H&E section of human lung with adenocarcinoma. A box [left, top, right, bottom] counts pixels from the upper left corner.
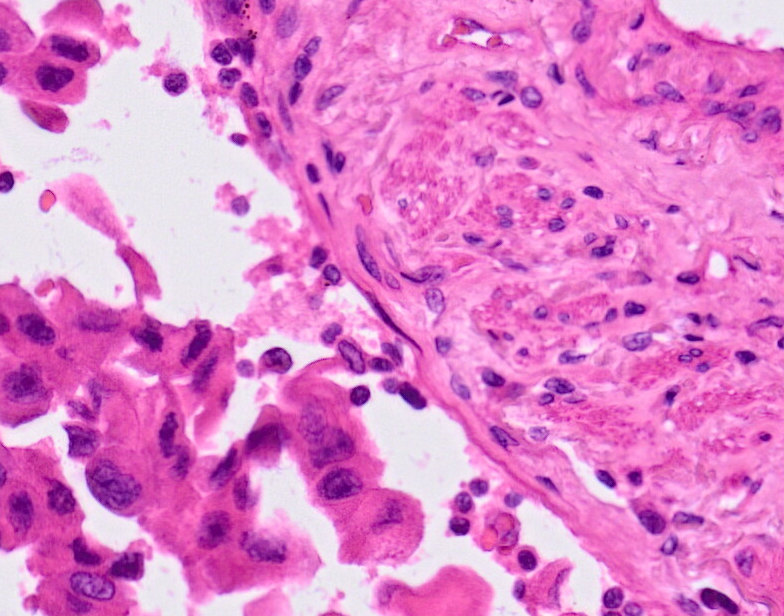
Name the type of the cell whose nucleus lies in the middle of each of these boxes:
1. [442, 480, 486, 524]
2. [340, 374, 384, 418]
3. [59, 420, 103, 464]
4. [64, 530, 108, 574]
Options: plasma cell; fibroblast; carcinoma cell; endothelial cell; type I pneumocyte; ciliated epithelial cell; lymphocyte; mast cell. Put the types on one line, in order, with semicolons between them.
lymphocyte; lymphocyte; carcinoma cell; carcinoma cell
